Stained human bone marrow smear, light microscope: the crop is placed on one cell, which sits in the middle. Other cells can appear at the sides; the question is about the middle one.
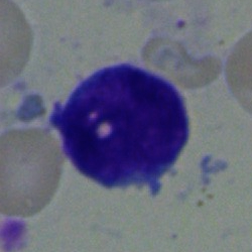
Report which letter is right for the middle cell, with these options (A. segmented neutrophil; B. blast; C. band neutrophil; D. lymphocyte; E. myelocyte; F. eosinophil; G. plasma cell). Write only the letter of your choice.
B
